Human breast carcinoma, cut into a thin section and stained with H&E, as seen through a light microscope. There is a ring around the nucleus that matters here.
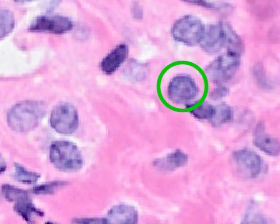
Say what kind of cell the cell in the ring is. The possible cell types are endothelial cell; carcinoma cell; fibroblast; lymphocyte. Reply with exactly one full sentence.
In this preparation, the cell in the ring is a carcinoma cell.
